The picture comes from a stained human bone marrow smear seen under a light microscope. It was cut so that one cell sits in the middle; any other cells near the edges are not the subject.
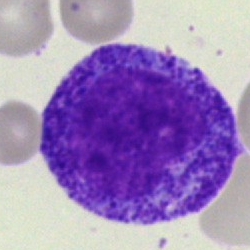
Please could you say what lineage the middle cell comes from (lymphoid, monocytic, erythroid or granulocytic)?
granulocytic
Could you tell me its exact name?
promyelocyte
